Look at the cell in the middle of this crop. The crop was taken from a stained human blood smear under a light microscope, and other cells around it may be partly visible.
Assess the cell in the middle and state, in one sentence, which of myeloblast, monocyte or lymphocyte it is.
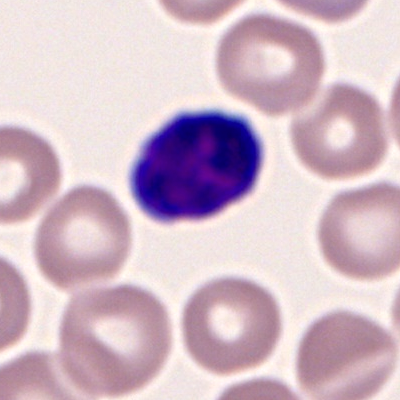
The cell centred in this crop is categorized as a lymphocyte.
